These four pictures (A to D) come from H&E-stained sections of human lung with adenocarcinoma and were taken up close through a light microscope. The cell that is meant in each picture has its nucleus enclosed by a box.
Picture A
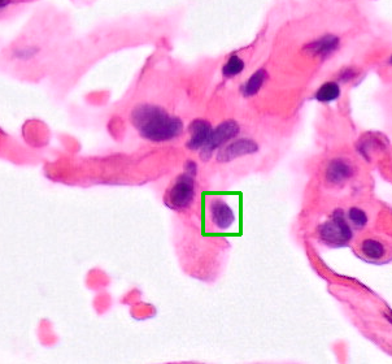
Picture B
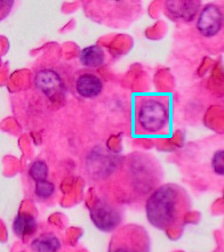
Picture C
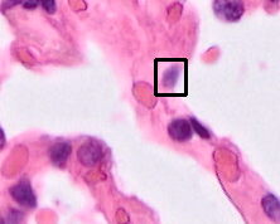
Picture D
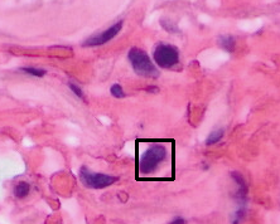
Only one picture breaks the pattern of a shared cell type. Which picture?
B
